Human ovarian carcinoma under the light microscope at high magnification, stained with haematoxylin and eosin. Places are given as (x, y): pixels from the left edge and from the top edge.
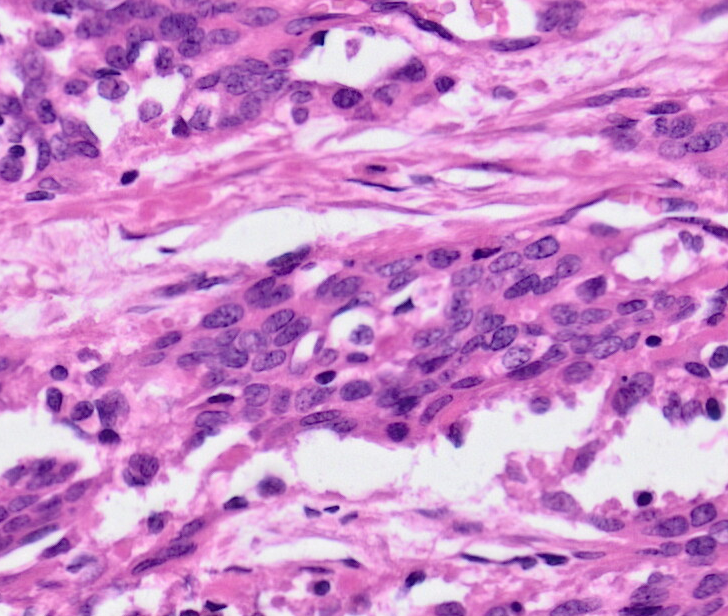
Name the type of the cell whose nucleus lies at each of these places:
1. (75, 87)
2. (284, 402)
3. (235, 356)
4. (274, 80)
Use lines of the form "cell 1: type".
cell 1: macrophage or monocyte
cell 2: carcinoma cell
cell 3: carcinoma cell
cell 4: carcinoma cell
